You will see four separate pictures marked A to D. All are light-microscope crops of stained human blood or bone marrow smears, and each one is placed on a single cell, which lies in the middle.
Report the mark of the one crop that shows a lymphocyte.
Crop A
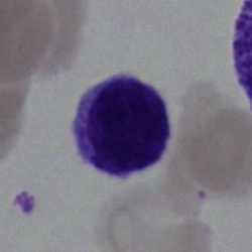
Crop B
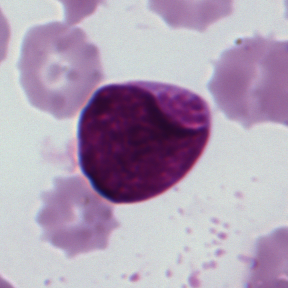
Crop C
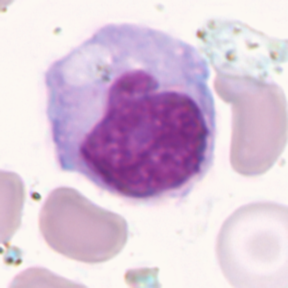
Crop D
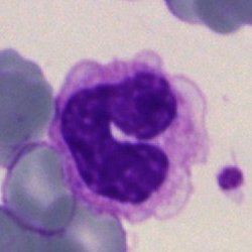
A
